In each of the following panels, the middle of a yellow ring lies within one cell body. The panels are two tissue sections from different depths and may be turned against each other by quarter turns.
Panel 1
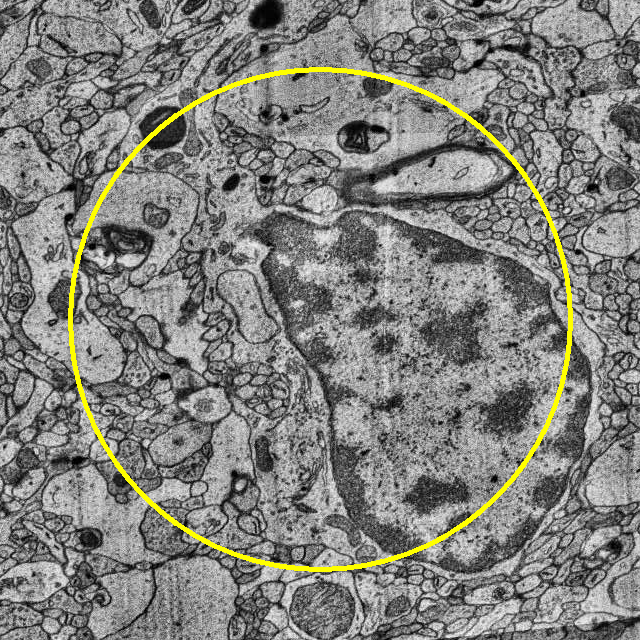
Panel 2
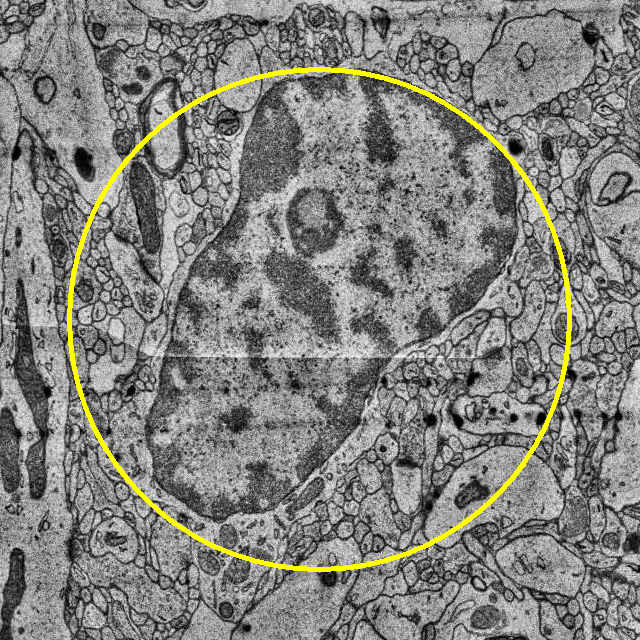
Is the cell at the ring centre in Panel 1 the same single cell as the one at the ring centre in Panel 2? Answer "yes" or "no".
yes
